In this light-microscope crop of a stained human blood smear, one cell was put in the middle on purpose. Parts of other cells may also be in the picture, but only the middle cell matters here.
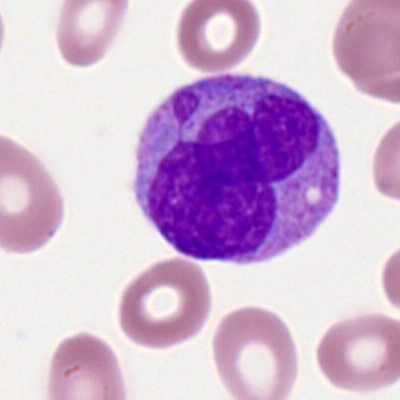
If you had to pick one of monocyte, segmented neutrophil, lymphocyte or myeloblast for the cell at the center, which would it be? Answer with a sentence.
In the central position of this crop, the cell is a monocyte.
